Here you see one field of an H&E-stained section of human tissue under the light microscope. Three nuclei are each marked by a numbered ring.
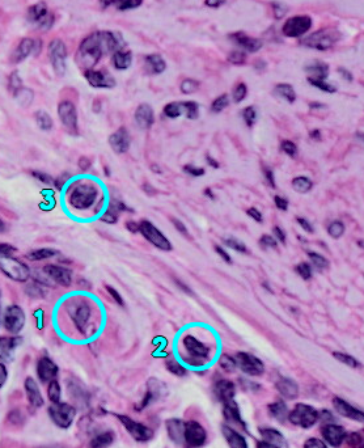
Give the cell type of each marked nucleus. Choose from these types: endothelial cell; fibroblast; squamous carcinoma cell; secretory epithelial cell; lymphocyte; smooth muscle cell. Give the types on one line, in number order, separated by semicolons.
endothelial cell; lymphocyte; lymphocyte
